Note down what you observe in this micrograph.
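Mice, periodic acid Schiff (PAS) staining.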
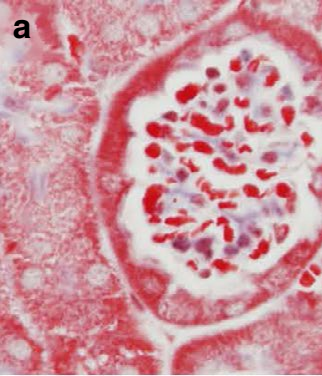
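Kidney cortex with one round glomerulus cut across, ringed by tubules. The tuft fills most of the capsule, leaving a narrow clear space along its edge. Inside the tuft, many small bright red bodies lie in the capillary loops, alongside scattered lilac to purple material between the loops. The surrounding tubules have pink-red, finely granular cytoplasm, pale round nuclei and small lumens, and are separated from one another by thin clear spaces.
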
